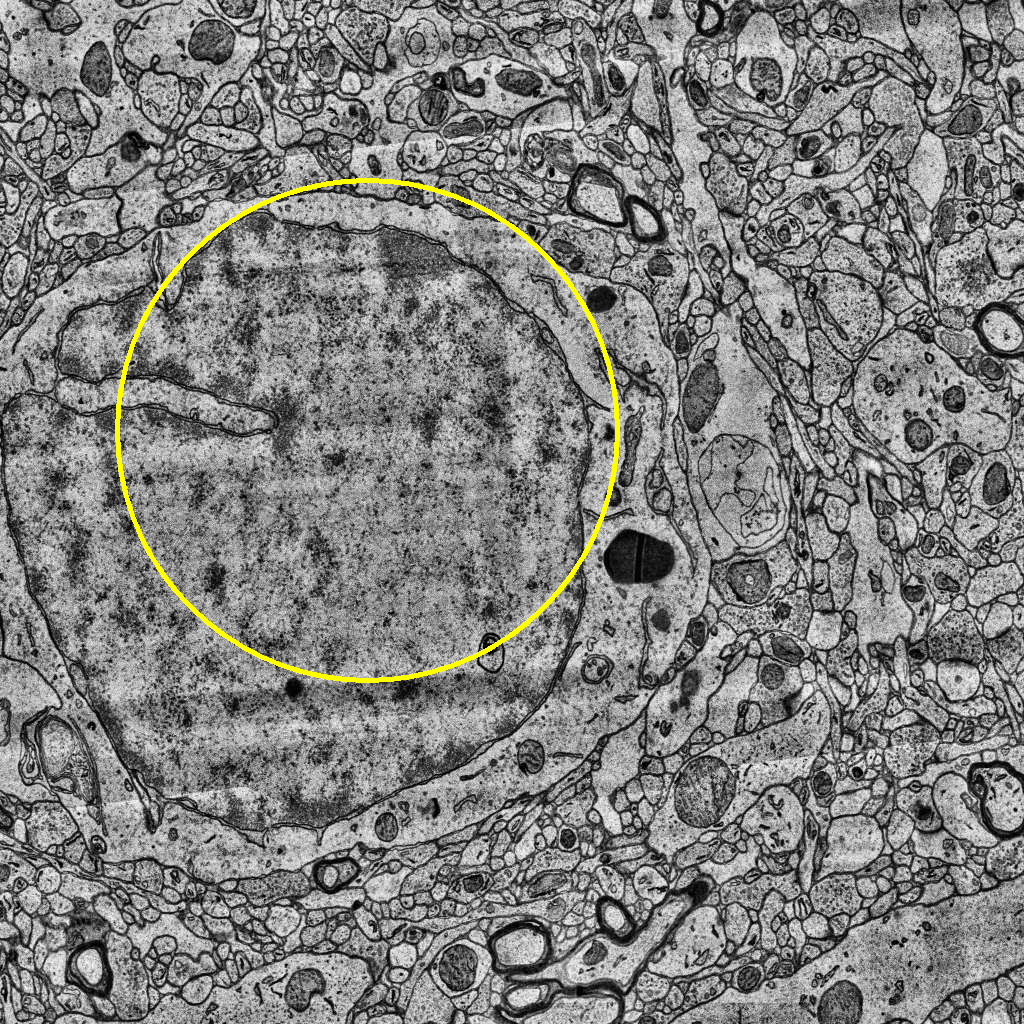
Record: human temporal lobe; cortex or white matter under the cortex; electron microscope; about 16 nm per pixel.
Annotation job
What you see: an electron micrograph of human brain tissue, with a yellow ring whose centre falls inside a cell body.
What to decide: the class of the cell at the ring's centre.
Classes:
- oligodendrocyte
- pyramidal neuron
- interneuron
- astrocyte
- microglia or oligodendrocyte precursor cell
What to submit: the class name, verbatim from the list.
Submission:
interneuron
